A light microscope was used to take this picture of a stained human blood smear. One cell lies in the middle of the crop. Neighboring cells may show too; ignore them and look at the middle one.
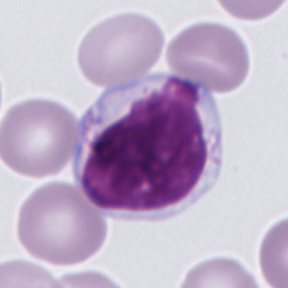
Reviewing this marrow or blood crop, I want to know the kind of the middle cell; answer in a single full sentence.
The cell at the central position in this crop is a large granular lymphocyte.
